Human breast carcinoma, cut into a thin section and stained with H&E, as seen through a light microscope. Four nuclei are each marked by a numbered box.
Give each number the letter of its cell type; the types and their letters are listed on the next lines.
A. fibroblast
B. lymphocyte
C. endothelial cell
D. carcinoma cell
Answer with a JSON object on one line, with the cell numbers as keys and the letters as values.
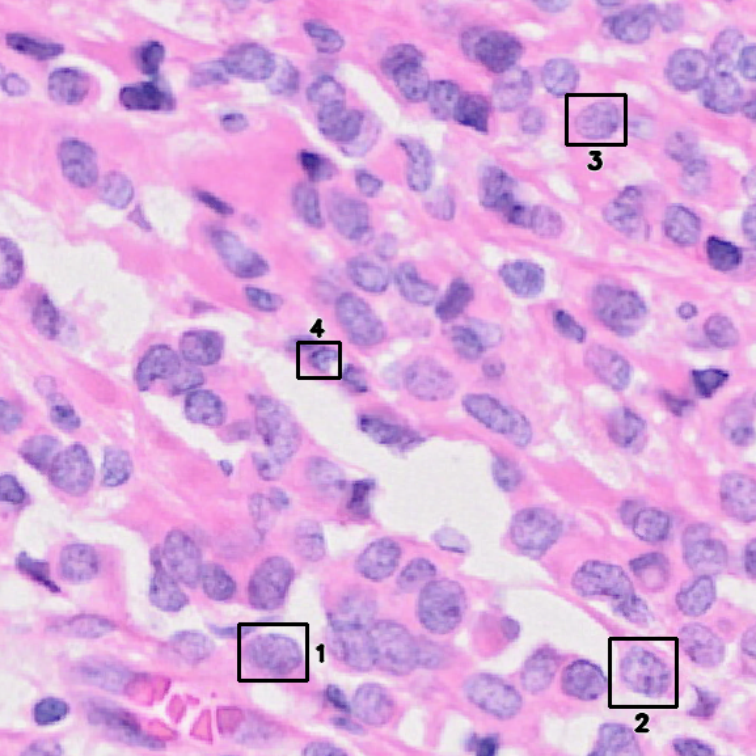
{"1": "D", "2": "D", "3": "D", "4": "C"}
